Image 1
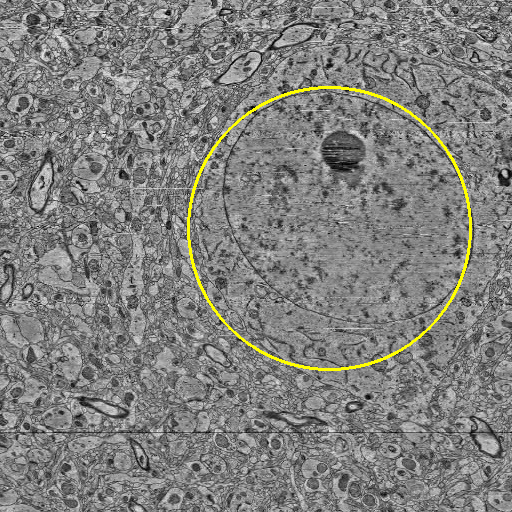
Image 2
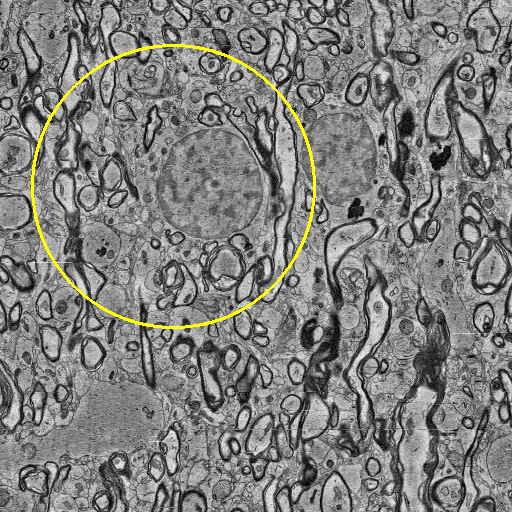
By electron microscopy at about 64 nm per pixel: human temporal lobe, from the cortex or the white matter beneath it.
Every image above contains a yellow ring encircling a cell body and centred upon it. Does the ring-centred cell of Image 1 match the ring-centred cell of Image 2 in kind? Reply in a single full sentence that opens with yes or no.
No, the cell at the ring's centre in Image 1 is a separate kind from that in Image 2.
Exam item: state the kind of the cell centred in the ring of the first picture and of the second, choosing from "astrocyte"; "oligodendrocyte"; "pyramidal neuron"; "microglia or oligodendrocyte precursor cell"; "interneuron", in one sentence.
The first picture shows a pyramidal neuron at the ring centre and the second shows an oligodendrocyte.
